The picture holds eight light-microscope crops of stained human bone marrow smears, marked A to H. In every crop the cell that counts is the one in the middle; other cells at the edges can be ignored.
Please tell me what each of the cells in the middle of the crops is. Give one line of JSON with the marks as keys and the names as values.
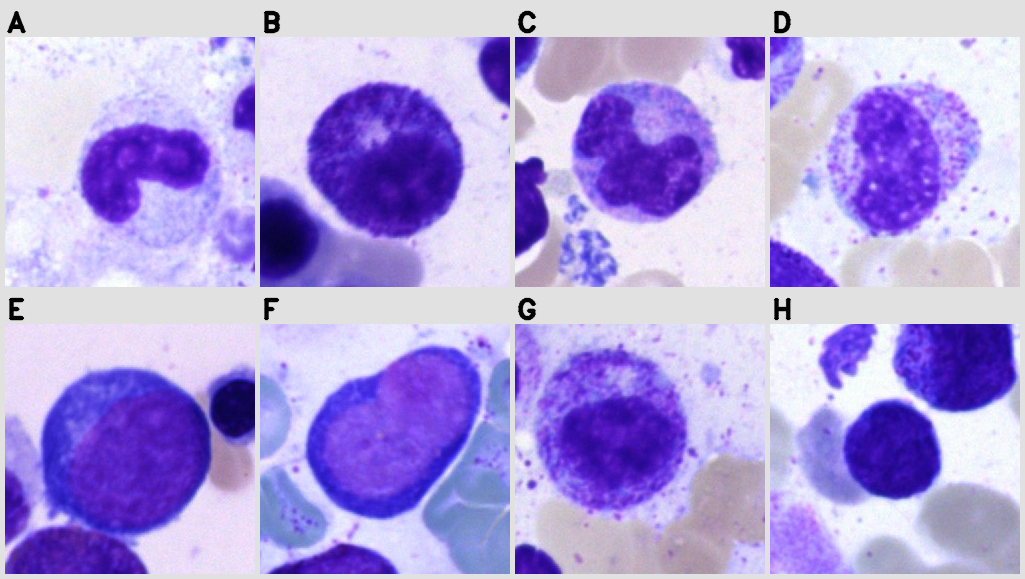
{"A": "band neutrophil", "B": "promyelocyte", "C": "monocyte", "D": "metamyelocyte", "E": "proerythroblast", "F": "proerythroblast", "G": "myelocyte", "H": "lymphocyte"}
